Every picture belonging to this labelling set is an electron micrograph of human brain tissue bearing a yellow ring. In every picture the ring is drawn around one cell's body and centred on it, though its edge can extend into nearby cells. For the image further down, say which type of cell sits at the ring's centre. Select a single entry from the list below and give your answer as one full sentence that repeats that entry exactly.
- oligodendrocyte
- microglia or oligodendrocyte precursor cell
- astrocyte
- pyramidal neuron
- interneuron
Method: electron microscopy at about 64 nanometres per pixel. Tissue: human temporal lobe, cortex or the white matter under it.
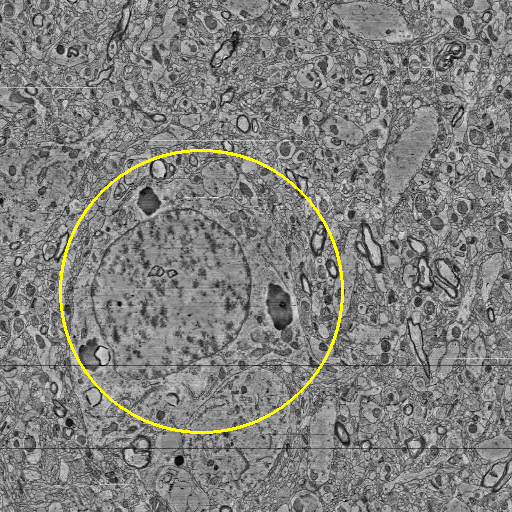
In the picture, an interneuron is the cell at the centre of the yellow ring.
